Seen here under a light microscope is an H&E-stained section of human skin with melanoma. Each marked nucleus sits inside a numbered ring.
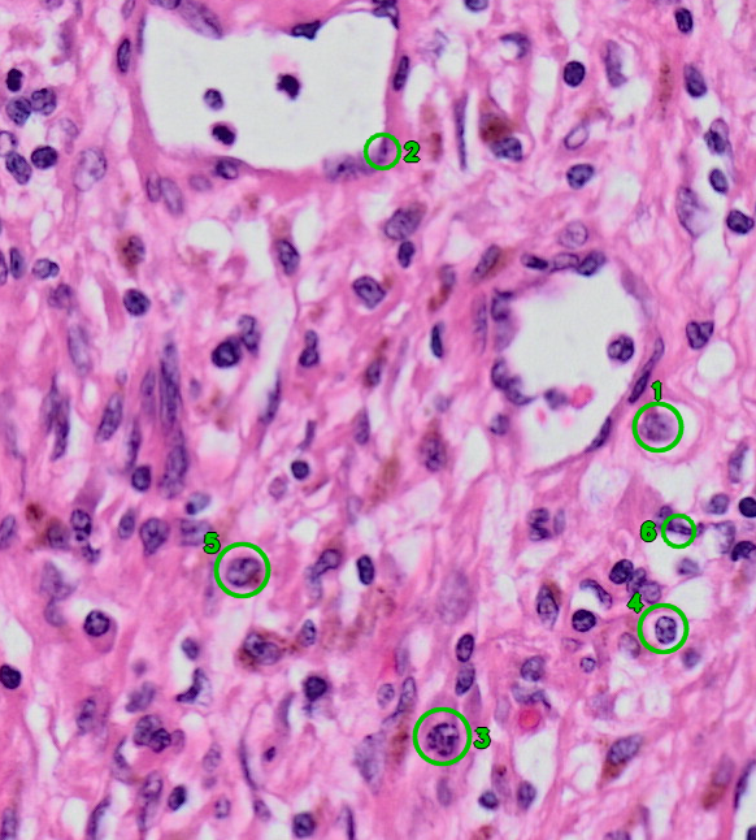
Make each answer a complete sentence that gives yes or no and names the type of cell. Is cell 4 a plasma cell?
No, calling cell 4 a plasma cell is incorrect; it is a lymphocyte.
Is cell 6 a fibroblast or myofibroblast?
Yes, cell number 6 is classified as a fibroblast or myofibroblast.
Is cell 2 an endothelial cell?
Yes, cell number 2 in this section is an endothelial cell.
